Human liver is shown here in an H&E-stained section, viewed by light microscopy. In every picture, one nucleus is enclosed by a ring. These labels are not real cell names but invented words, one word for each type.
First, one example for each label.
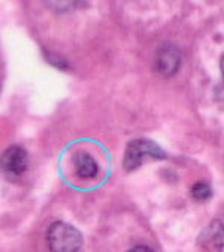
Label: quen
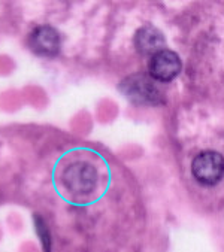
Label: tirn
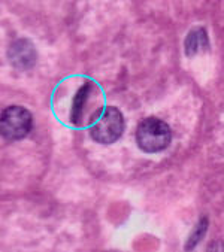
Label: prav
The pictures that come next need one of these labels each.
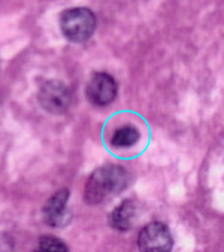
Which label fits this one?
quen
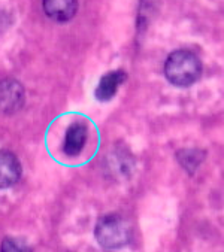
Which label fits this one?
quen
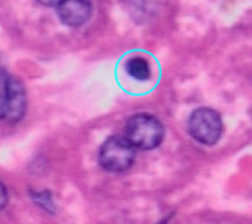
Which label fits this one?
quen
